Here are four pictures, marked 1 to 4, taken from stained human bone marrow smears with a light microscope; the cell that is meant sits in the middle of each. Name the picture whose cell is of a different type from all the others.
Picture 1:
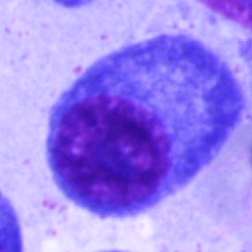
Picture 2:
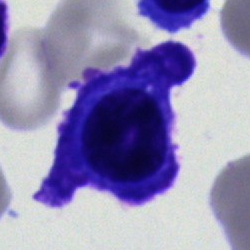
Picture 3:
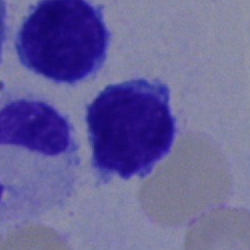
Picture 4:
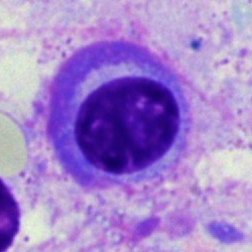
3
